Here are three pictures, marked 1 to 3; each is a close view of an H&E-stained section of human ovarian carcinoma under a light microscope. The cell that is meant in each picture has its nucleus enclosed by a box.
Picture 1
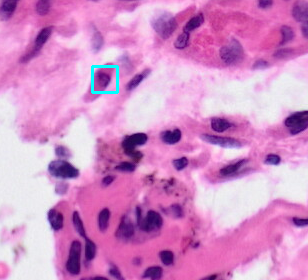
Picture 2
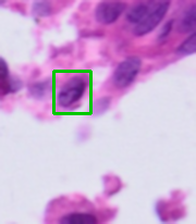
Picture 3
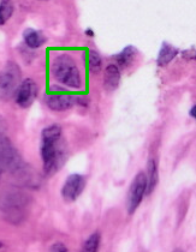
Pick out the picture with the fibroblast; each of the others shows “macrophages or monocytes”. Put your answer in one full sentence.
The picture with the fibroblast is 1.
